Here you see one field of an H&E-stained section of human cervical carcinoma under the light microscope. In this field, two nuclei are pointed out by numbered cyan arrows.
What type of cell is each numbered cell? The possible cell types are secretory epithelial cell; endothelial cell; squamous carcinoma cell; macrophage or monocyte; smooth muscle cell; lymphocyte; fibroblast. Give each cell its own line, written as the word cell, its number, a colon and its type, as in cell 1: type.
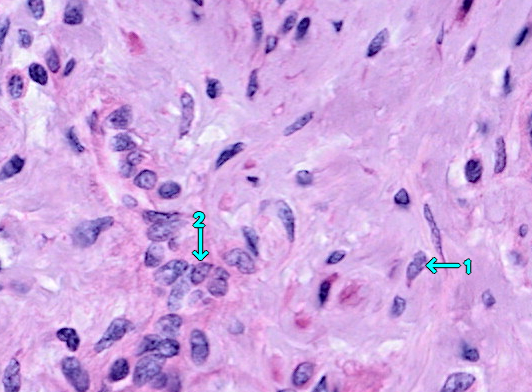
cell 1: fibroblast
cell 2: endothelial cell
